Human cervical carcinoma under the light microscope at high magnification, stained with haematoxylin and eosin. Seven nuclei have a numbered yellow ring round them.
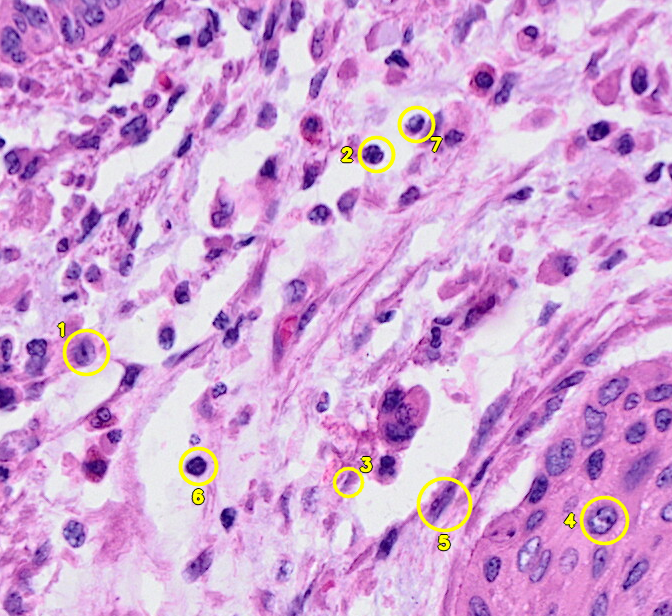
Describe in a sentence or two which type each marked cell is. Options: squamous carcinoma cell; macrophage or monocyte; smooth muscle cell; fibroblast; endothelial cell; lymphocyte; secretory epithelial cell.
Cell 1 is a macrophage or monocyte, cell 2 is a lymphocyte, cell 3 is a fibroblast, cell 4 is a squamous carcinoma cell, cell 5 is a fibroblast, cell 6 is a lymphocyte and cell 7 is a lymphocyte.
